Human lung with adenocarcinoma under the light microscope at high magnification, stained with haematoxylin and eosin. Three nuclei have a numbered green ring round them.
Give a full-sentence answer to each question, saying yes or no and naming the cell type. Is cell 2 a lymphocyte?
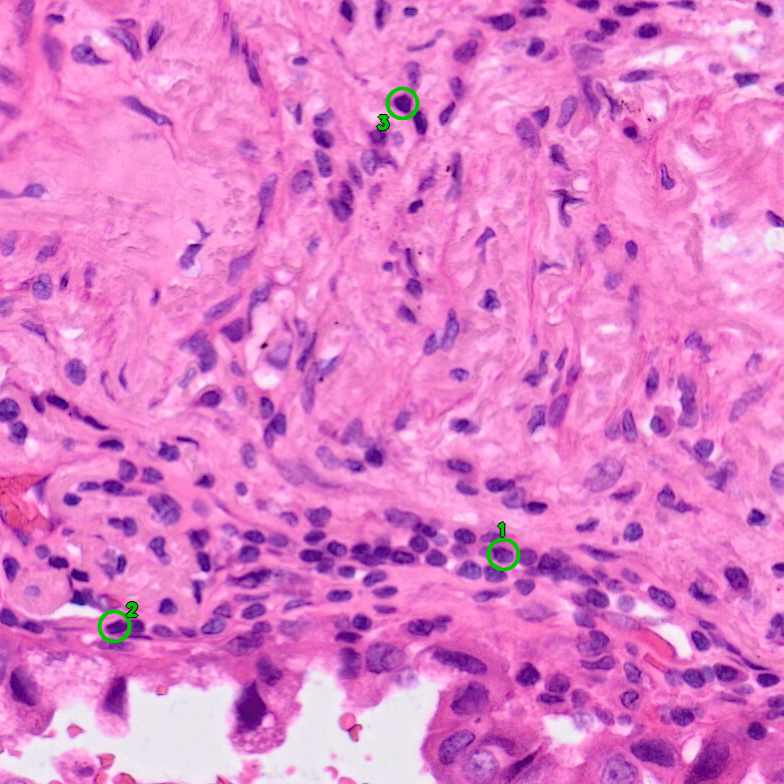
Yes, the numbered cell 2 is identified as a lymphocyte.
